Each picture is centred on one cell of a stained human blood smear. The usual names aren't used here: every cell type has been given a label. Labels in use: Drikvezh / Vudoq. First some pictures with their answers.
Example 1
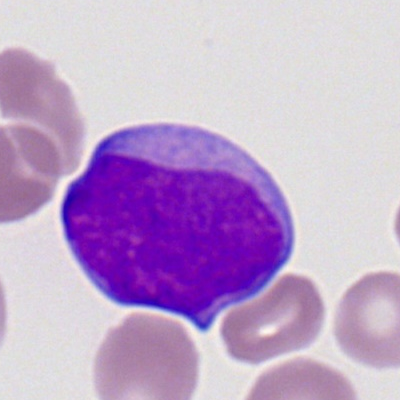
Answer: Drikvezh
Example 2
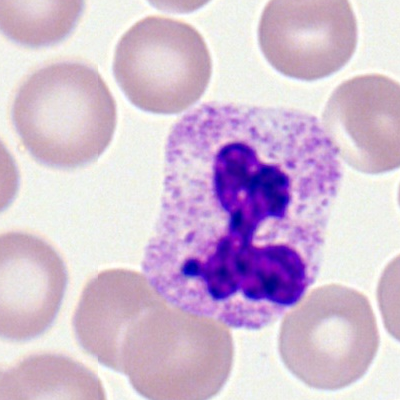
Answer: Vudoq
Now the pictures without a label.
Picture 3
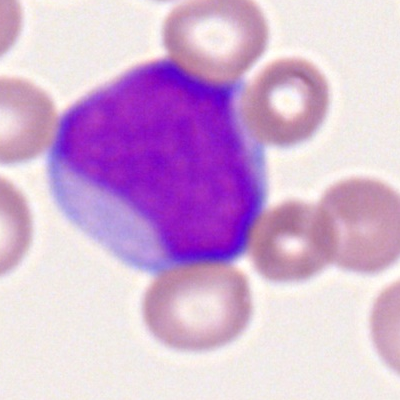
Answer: Drikvezh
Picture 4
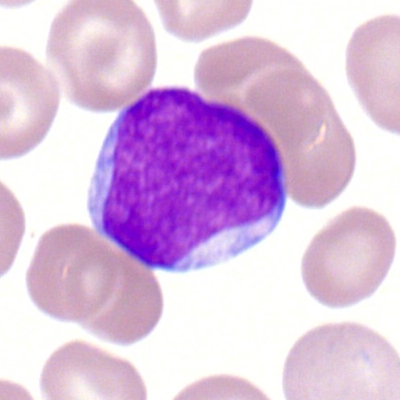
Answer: Drikvezh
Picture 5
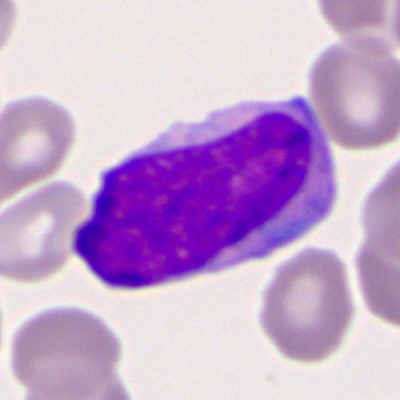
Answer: Drikvezh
